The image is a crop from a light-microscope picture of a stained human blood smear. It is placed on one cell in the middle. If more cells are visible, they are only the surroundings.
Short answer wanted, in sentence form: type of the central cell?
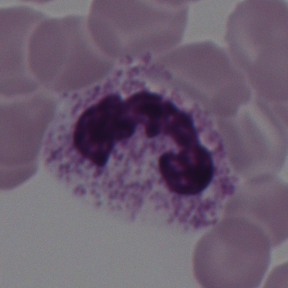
Here the cell in the middle is a segmented neutrophil.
